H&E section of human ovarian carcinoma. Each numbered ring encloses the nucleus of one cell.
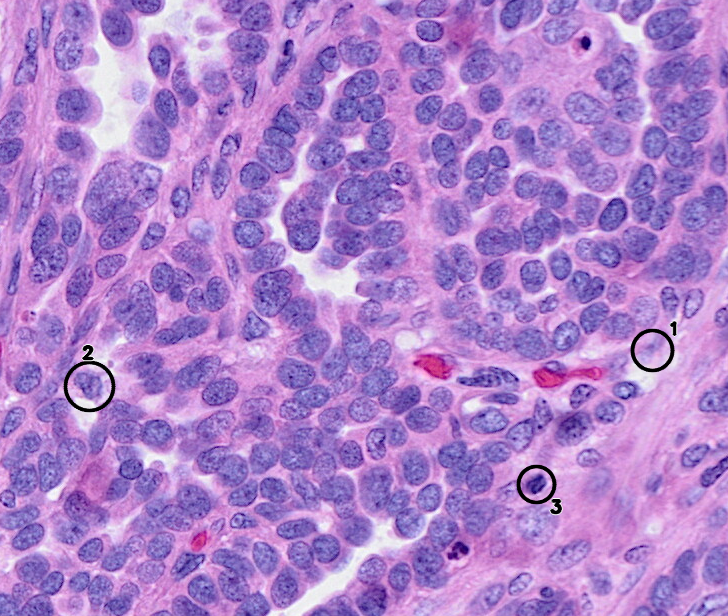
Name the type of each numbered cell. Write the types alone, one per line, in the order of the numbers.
fibroblast
macrophage or monocyte
lymphocyte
